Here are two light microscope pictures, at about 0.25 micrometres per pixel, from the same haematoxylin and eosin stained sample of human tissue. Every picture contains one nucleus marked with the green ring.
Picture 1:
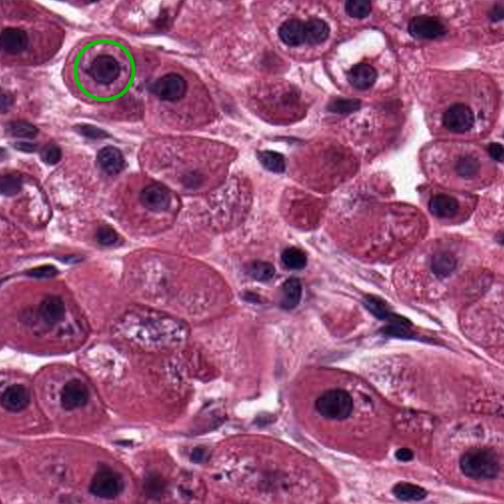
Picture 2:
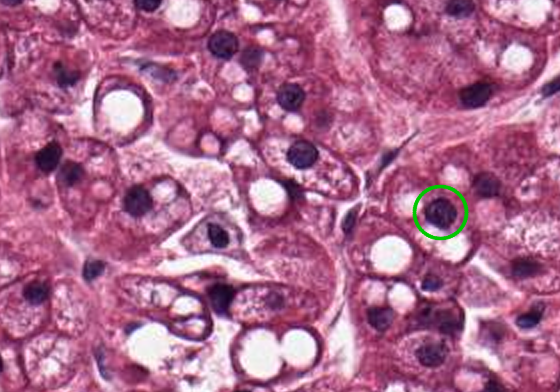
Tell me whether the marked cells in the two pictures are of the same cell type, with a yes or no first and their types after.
Yes, both are adrenal cortical cells.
